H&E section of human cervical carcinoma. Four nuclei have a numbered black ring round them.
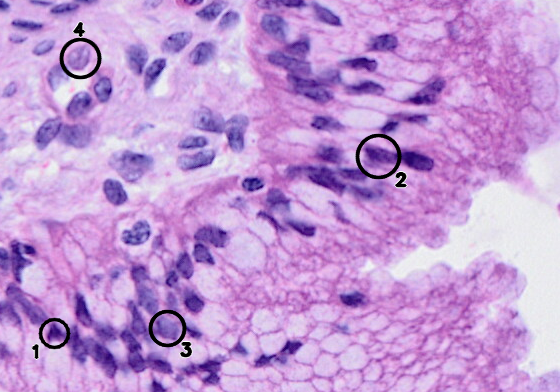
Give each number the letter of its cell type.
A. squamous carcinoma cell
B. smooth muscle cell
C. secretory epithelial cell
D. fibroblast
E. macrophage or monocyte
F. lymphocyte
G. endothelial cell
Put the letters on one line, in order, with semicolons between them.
C; C; C; G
